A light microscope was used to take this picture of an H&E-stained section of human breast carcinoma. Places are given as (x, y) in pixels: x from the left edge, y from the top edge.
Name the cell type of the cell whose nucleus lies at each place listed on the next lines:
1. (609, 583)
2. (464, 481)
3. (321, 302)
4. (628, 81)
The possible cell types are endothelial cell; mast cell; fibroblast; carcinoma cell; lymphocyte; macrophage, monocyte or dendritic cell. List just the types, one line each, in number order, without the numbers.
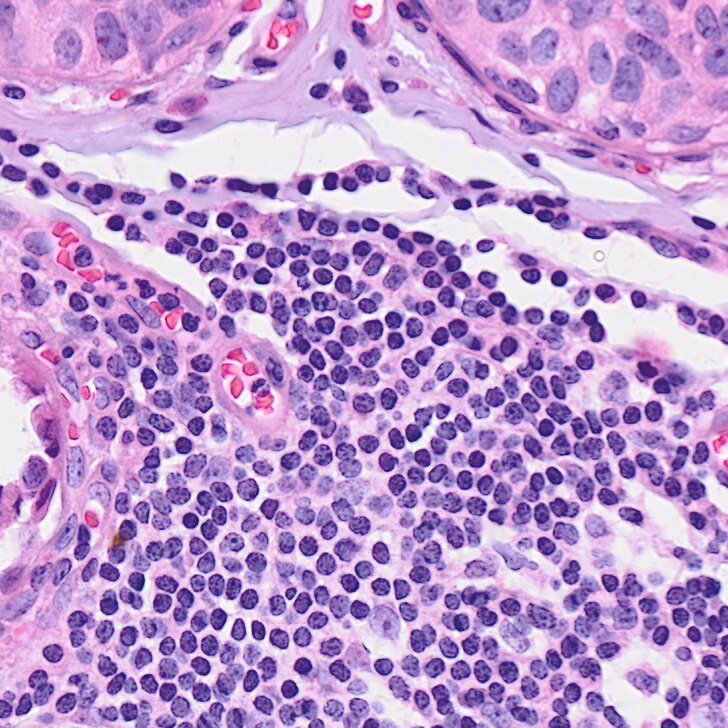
lymphocyte
lymphocyte
lymphocyte
carcinoma cell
